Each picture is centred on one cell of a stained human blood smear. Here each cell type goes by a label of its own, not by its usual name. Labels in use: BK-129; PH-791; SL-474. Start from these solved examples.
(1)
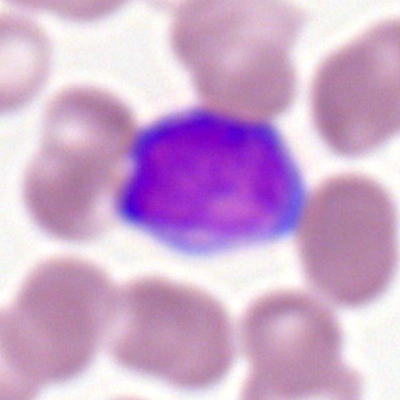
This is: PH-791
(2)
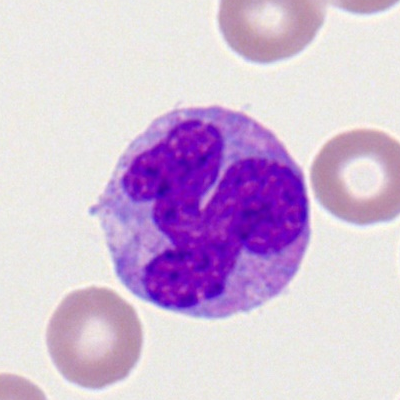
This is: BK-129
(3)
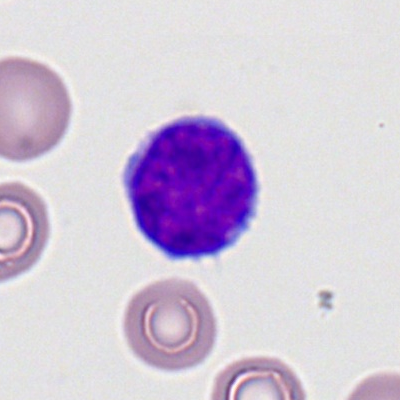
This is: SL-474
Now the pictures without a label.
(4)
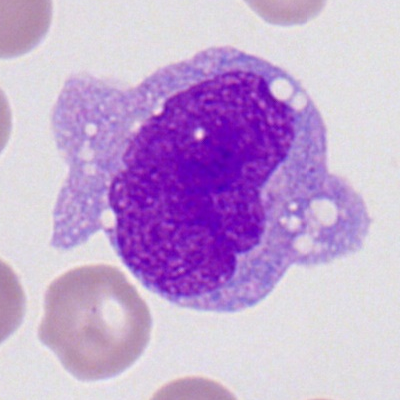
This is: BK-129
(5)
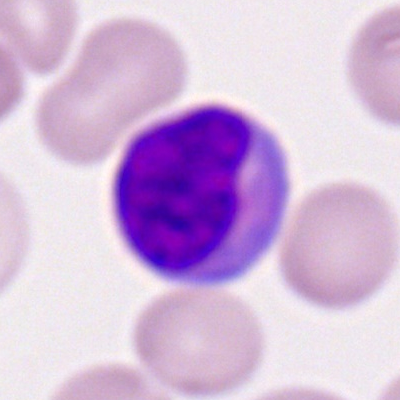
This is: SL-474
